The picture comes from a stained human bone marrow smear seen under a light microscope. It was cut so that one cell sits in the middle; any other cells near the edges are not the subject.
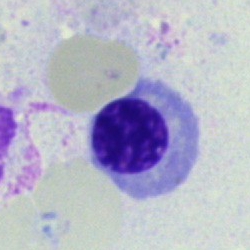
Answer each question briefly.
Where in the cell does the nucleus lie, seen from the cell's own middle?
left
